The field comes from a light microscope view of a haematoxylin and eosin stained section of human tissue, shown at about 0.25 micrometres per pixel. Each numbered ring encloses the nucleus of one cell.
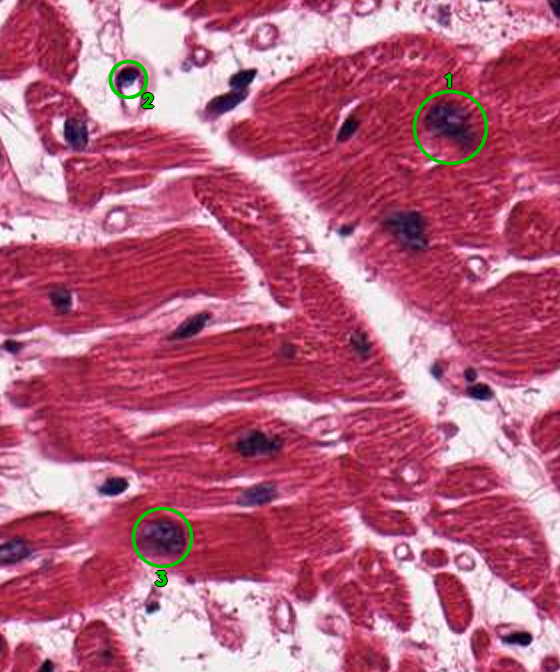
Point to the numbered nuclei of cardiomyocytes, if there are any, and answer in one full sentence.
Those nuclei labelled 1 and 3 belong to cardiomyocytes.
